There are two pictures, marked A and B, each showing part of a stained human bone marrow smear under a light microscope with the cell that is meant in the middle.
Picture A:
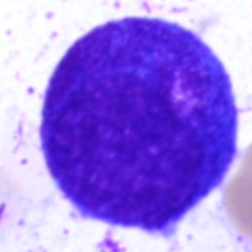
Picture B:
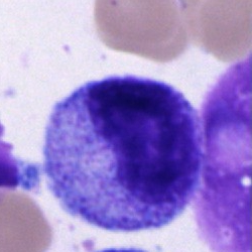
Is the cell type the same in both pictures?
yes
